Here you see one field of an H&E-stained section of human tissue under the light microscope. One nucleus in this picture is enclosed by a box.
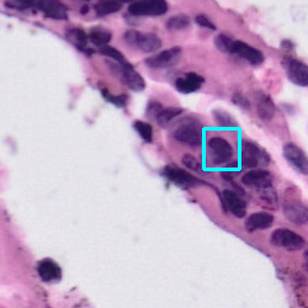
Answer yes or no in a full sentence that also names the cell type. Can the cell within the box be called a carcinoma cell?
Yes, the cell within the box represents a carcinoma cell in this tissue.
